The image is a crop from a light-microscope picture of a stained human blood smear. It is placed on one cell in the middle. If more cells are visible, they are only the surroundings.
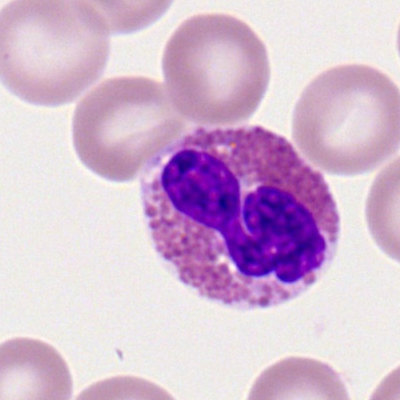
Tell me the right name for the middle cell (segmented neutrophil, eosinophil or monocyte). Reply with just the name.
eosinophil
